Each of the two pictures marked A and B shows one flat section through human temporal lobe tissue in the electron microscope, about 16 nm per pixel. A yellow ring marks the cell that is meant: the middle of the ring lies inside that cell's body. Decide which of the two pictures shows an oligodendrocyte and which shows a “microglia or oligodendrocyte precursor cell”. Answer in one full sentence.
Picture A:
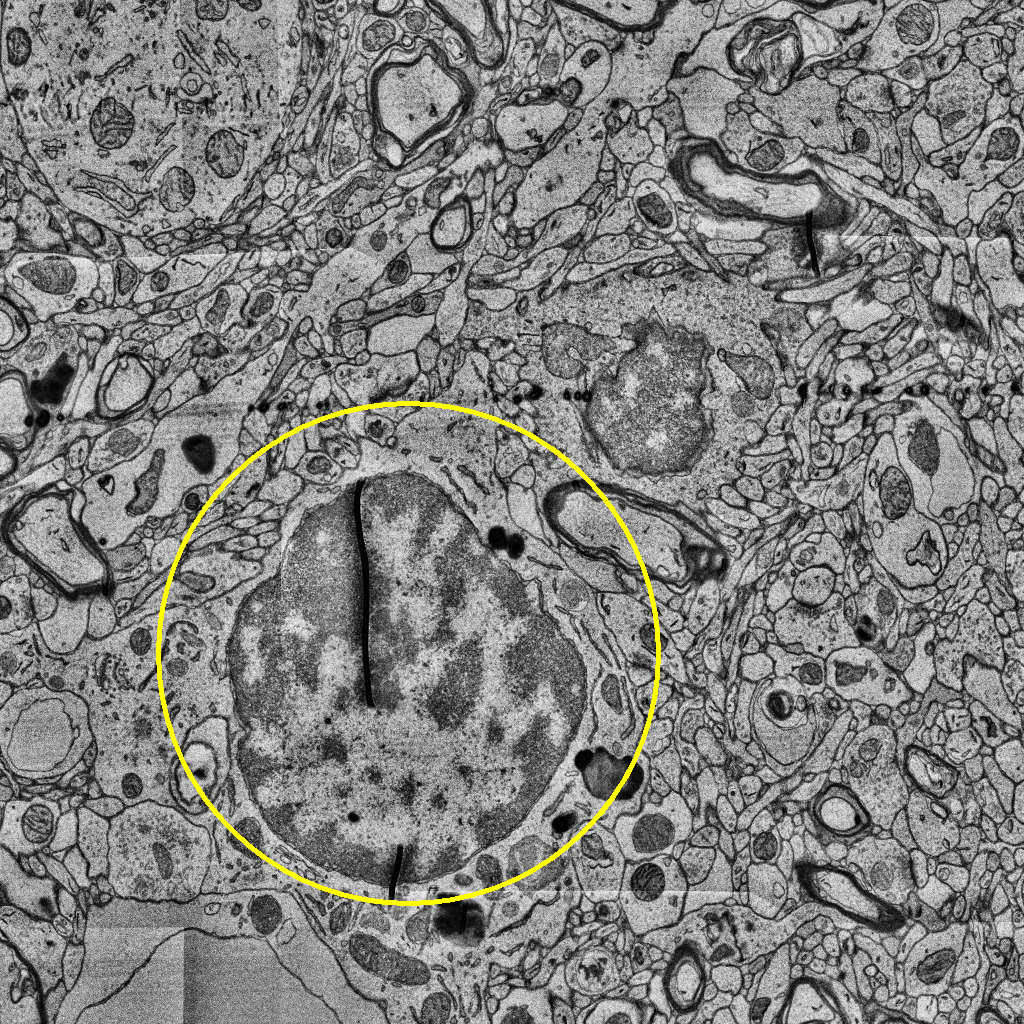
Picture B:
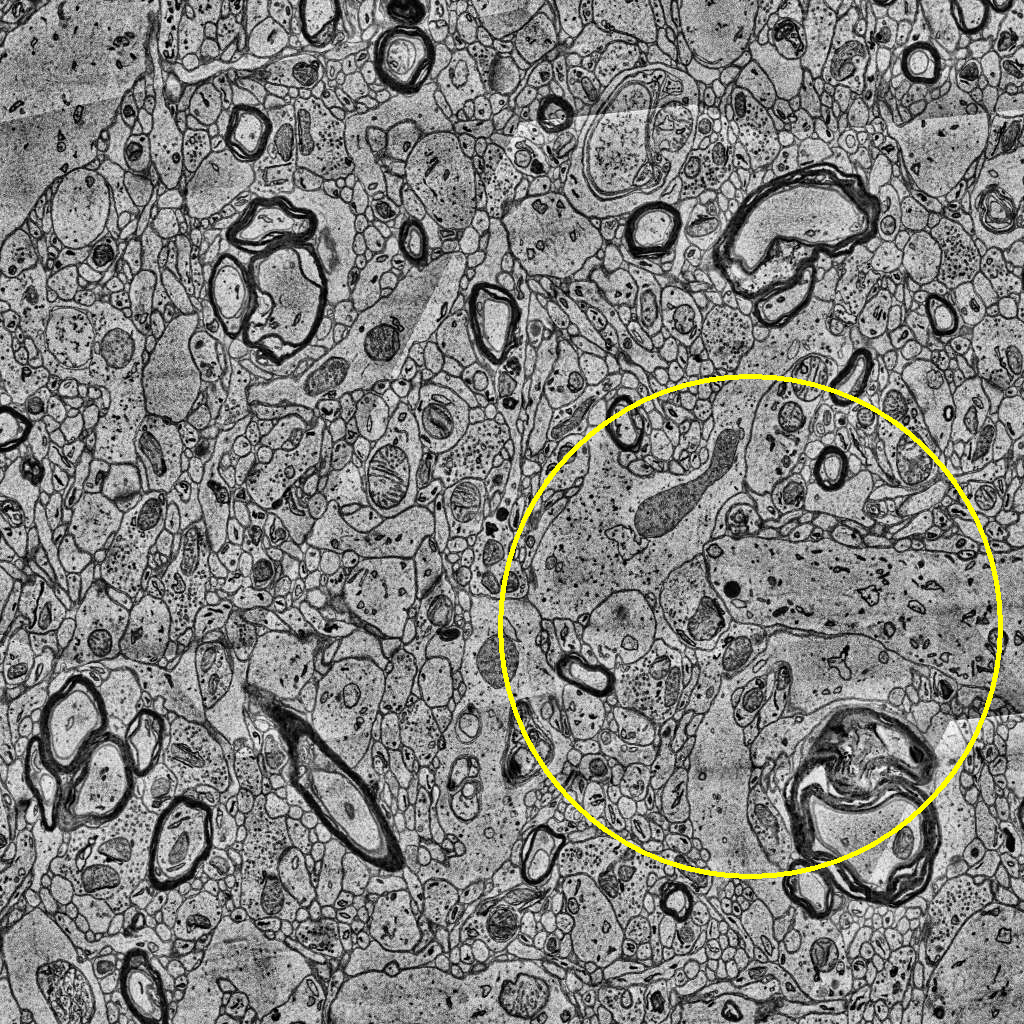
Picture A is of a “microglia or oligodendrocyte precursor cell”, and picture B is of an oligodendrocyte.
